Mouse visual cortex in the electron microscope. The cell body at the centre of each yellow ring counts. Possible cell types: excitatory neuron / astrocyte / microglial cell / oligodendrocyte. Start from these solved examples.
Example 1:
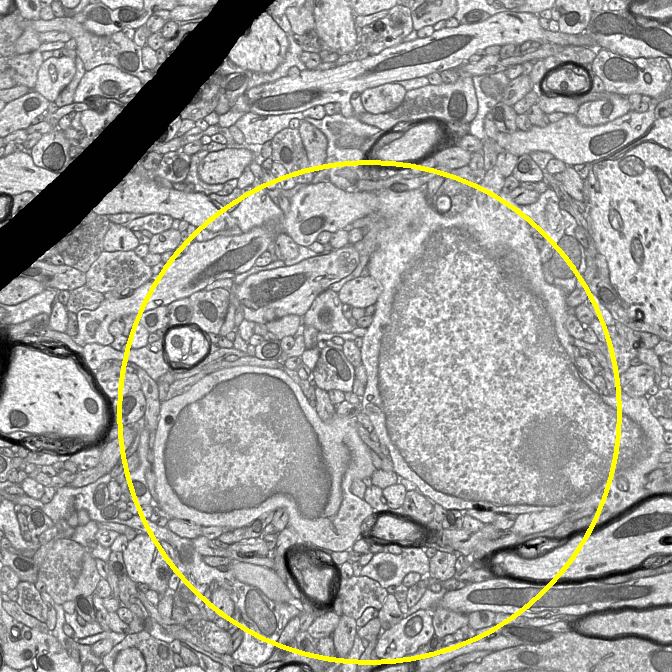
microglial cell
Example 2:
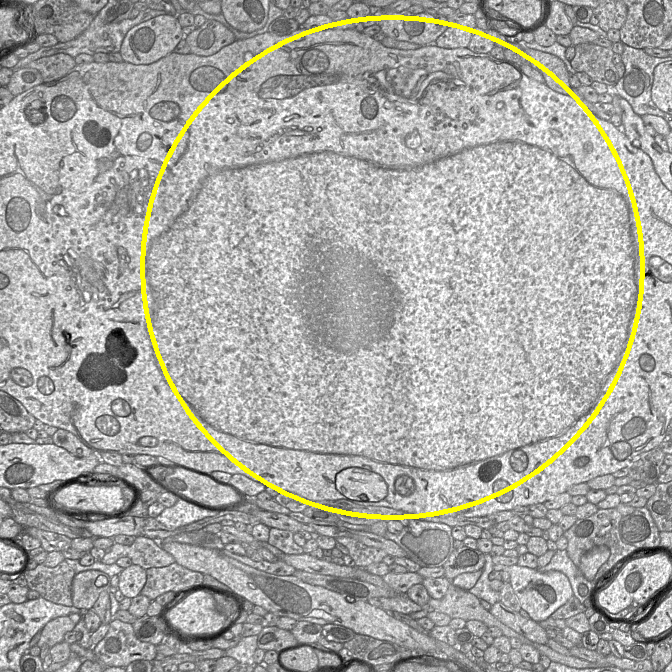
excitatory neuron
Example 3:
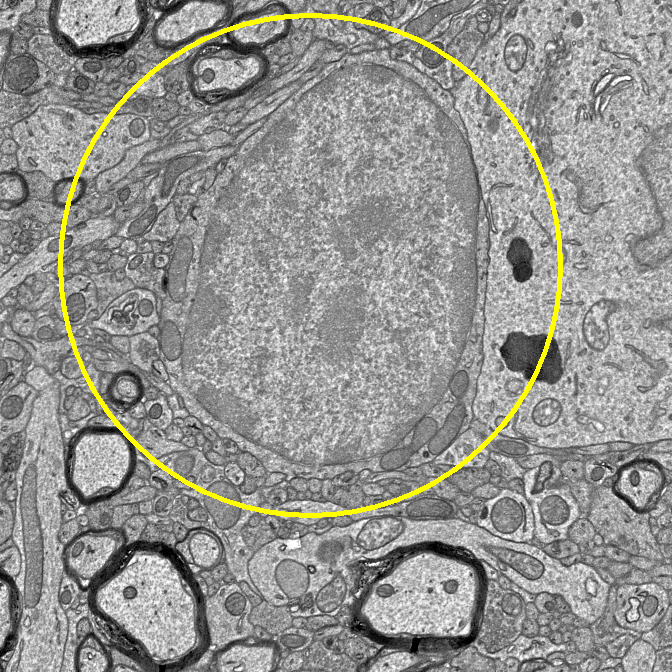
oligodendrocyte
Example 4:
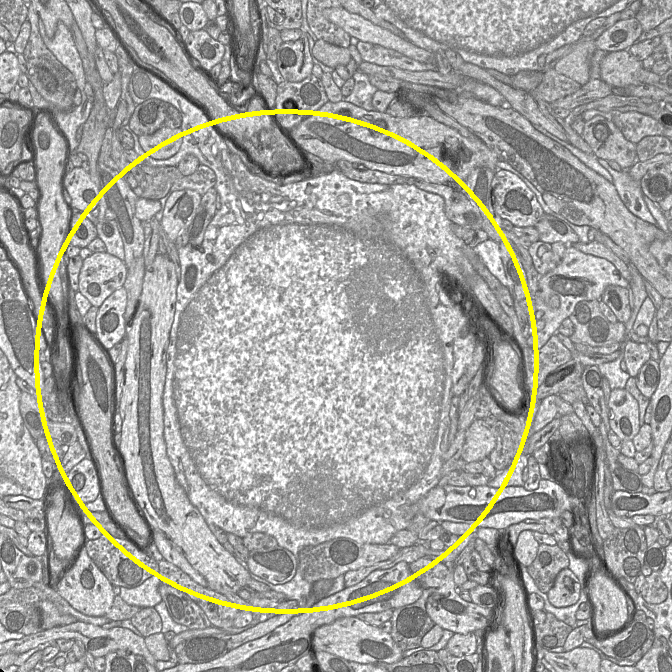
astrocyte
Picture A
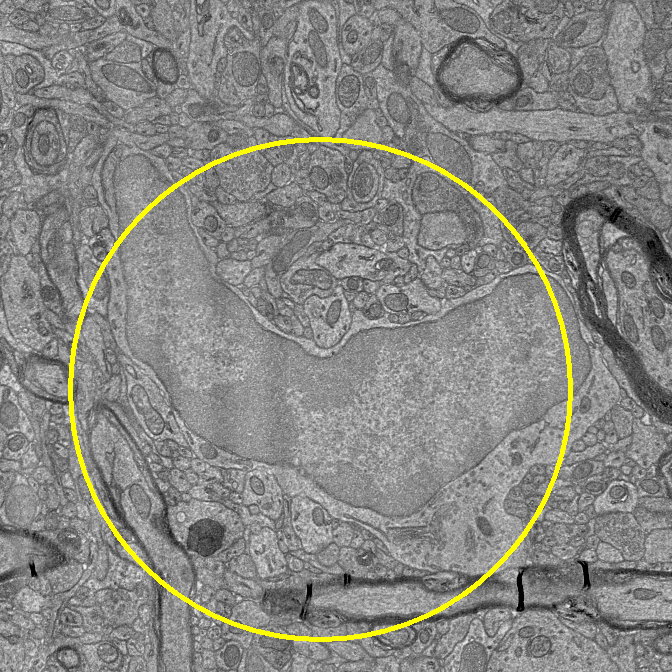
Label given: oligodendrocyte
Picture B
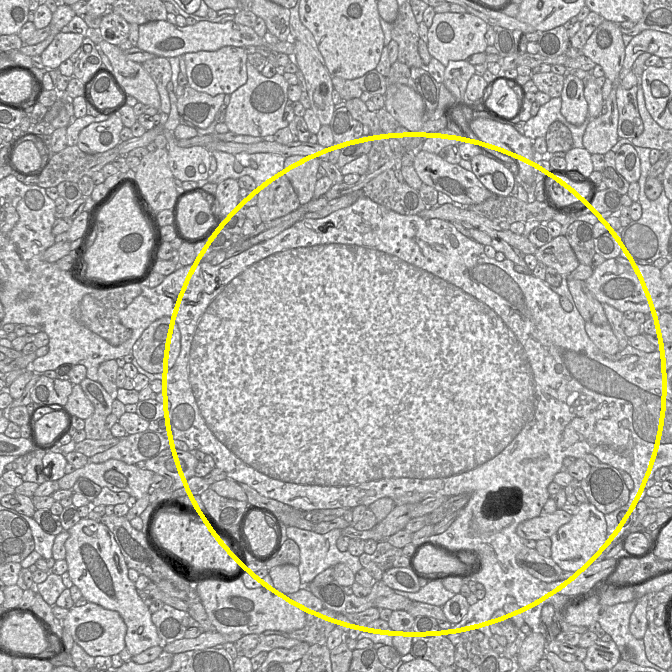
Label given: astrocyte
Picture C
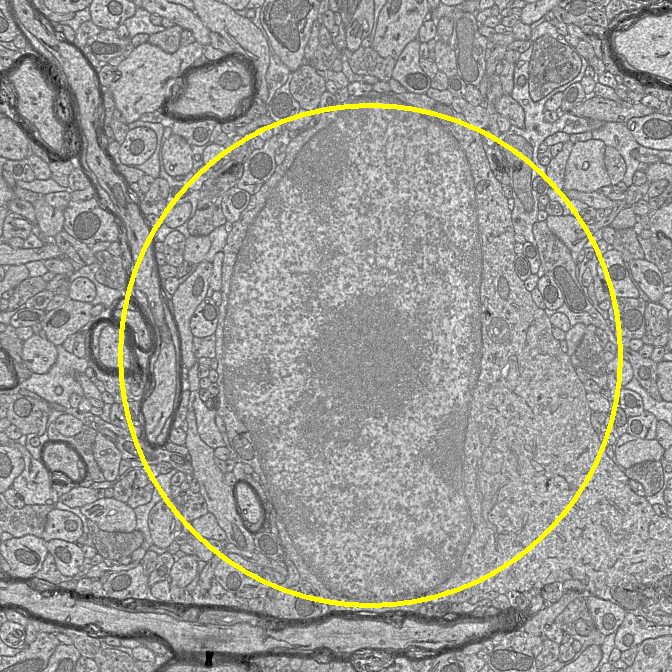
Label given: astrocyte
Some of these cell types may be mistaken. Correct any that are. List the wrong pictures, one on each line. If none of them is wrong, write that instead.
A should be microglial cell, not oligodendrocyte
C should be oligodendrocyte, not astrocyte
